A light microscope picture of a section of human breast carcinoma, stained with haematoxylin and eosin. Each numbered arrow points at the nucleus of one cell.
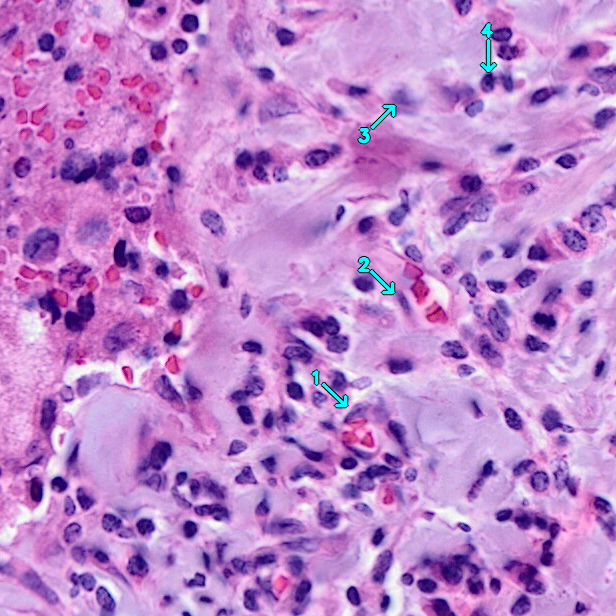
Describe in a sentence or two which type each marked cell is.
Cell 1 is an endothelial cell, cell 2 is an endothelial cell, cell 3 is a fibroblast and cell 4 is a lymphocyte.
